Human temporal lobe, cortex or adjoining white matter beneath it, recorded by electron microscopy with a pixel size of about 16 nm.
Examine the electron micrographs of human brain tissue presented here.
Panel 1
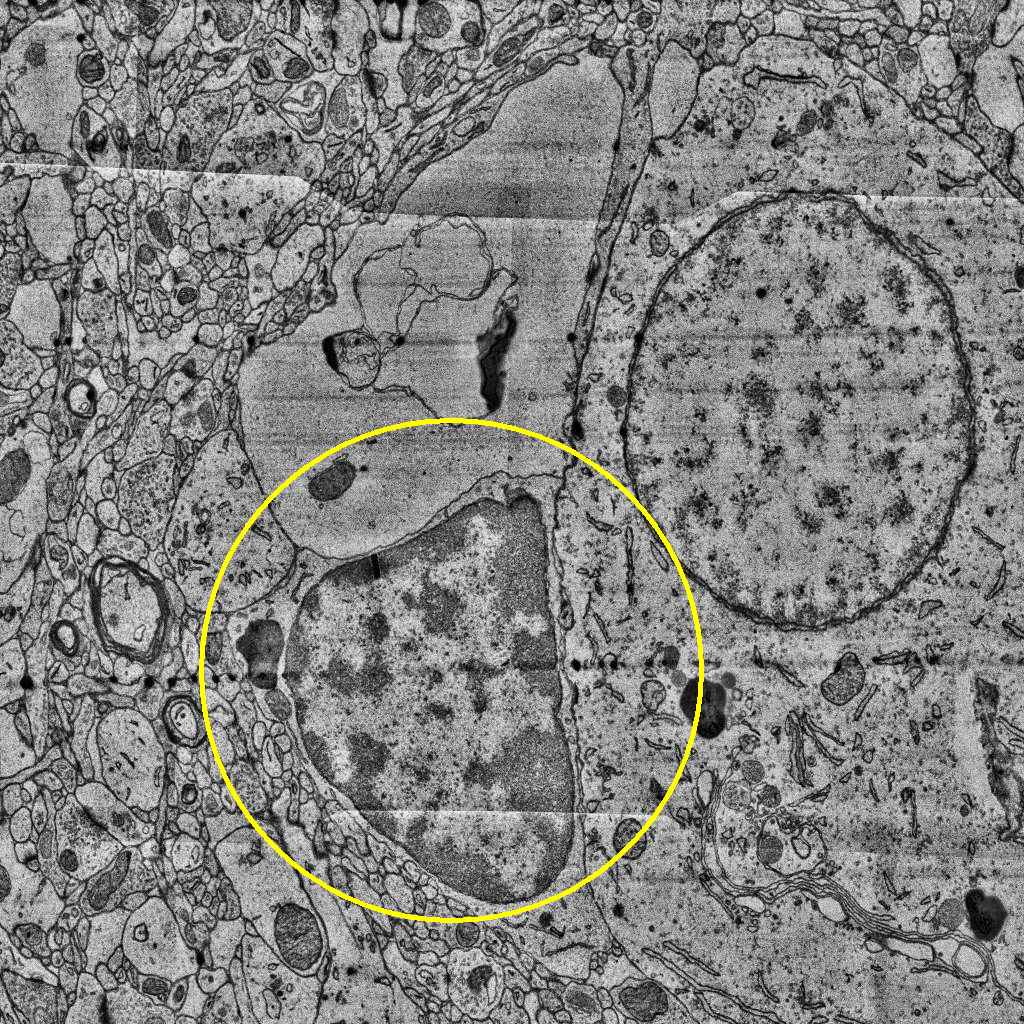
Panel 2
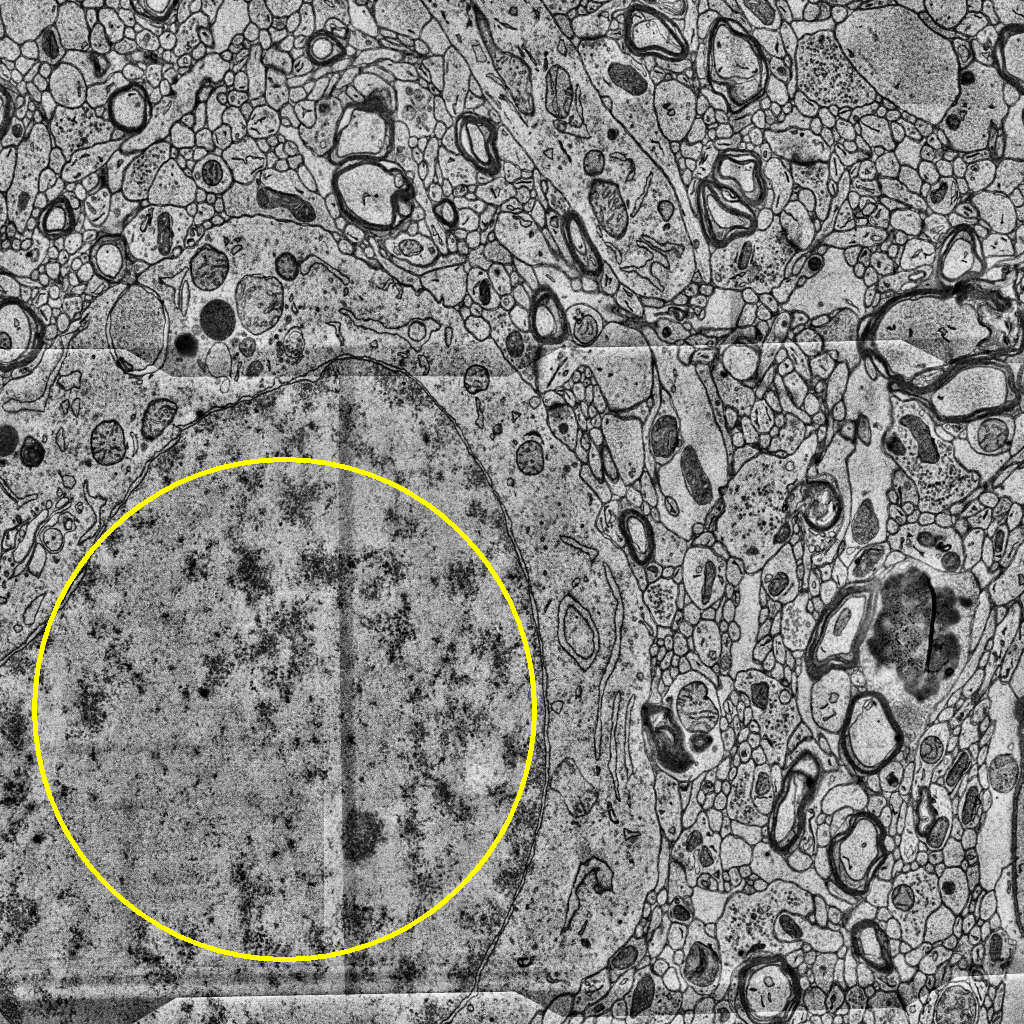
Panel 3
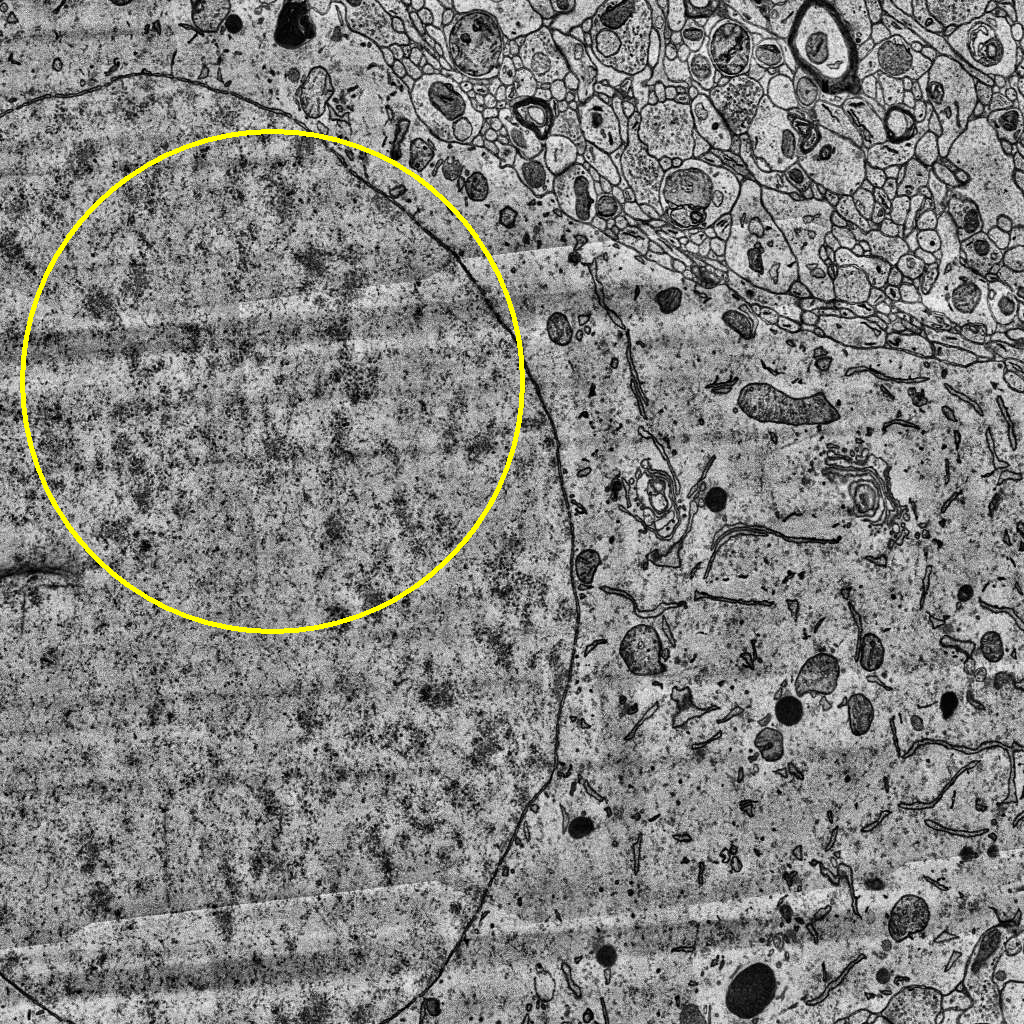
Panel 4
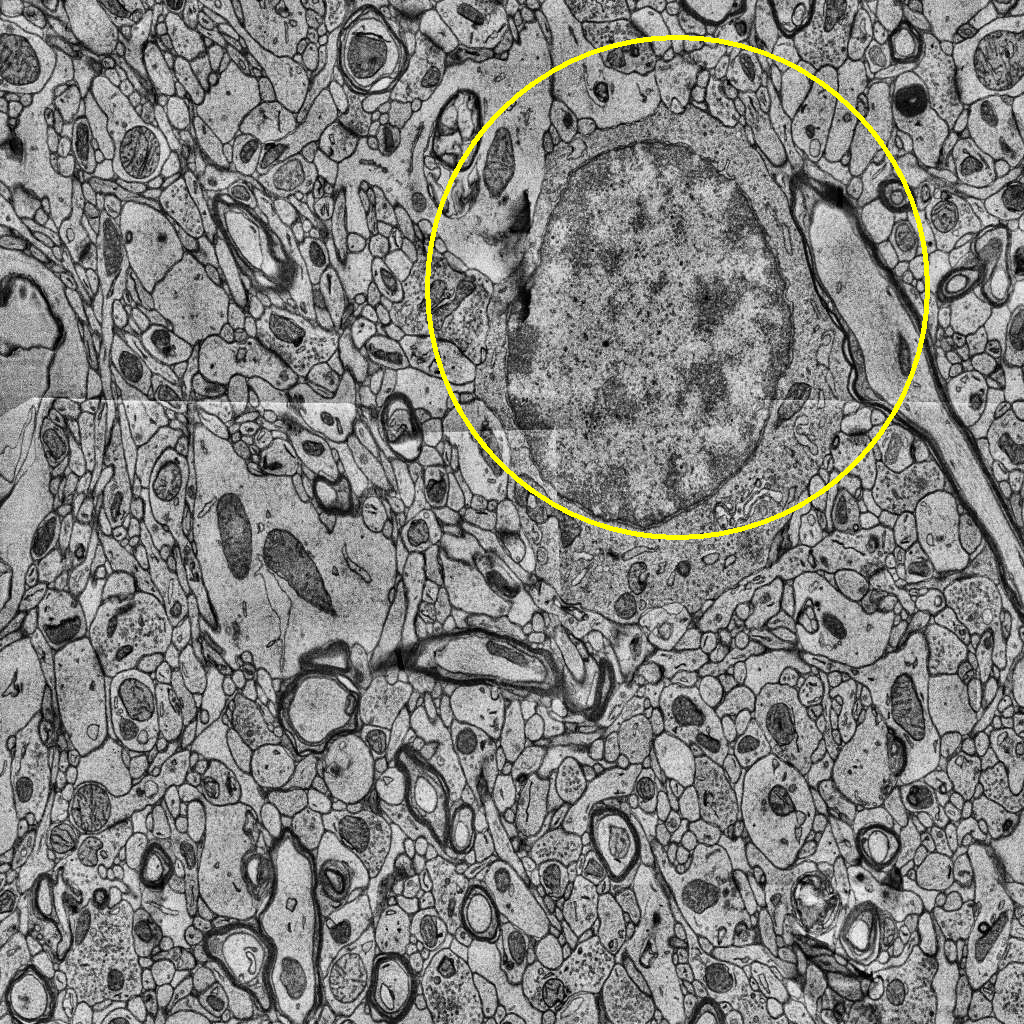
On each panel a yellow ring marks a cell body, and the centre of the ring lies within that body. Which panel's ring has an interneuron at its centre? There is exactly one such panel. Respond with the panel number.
2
